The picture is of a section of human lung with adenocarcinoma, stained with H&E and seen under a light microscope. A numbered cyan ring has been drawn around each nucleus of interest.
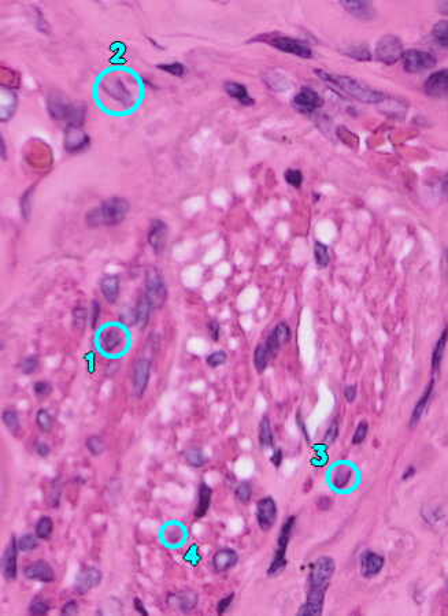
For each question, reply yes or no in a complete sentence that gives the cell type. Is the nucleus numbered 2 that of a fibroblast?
Yes, the one with the number 2 is a fibroblast.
